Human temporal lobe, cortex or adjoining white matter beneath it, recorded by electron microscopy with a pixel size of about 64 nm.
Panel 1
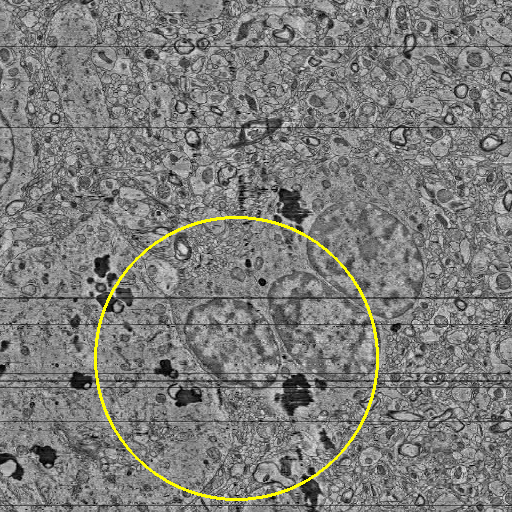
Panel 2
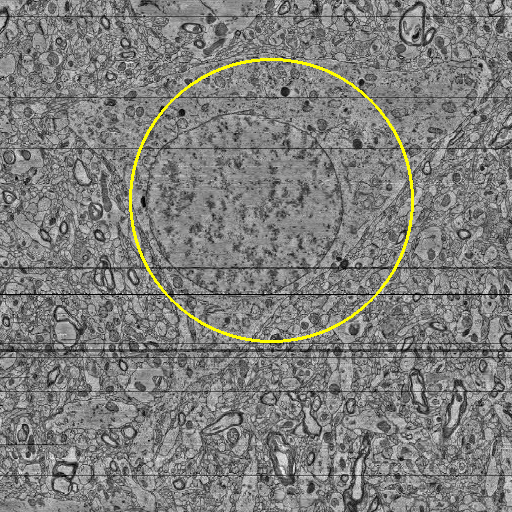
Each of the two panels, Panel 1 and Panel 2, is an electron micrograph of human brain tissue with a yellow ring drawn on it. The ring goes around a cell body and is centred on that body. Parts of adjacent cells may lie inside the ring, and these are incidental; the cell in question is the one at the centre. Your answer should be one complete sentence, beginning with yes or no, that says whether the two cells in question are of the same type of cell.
No, the two cells are of two types.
